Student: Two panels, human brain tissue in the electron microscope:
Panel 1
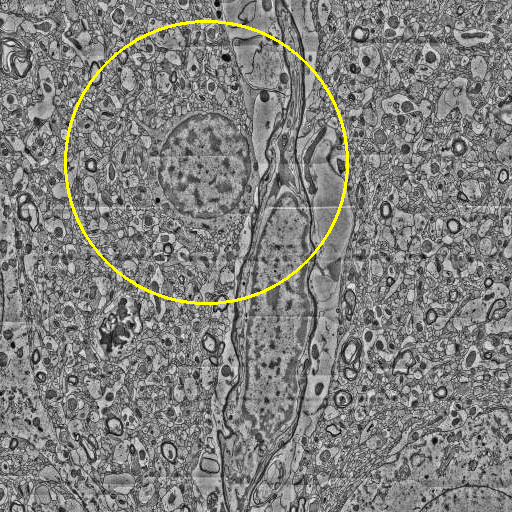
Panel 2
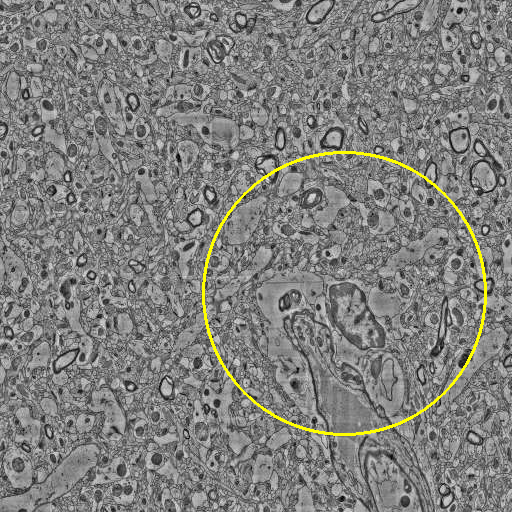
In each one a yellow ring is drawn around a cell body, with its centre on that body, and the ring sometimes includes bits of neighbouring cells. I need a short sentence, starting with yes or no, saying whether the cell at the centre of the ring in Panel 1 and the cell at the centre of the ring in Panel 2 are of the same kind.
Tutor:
No, they are two kinds of cell.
